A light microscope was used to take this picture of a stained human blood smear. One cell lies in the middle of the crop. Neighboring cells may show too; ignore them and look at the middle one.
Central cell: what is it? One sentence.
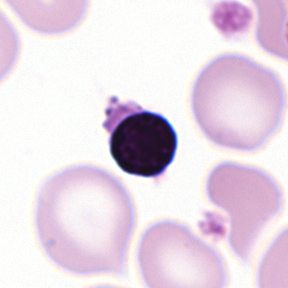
The cell centered in this field of view is an erythroblast.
